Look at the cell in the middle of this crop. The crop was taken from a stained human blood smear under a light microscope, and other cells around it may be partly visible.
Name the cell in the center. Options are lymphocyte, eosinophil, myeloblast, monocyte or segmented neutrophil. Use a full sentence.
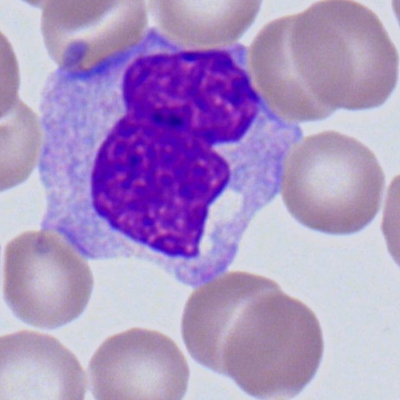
In this smear crop, the middle cell is a monocyte.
